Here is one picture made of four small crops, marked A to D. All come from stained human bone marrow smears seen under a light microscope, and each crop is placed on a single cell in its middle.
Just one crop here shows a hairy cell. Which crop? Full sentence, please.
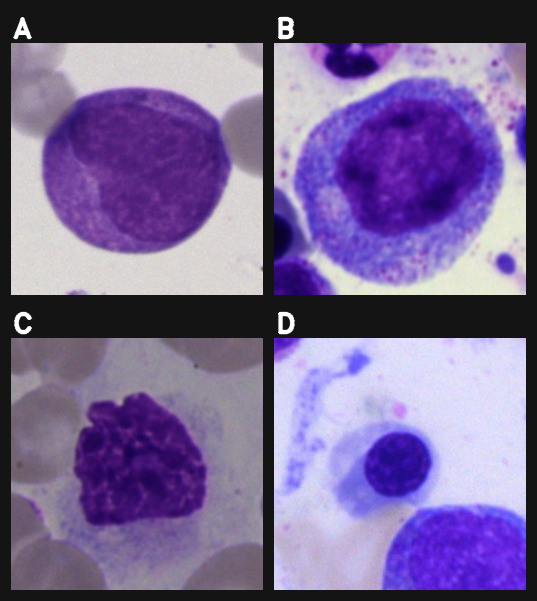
The crop marked C is the one that shows a hairy cell.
